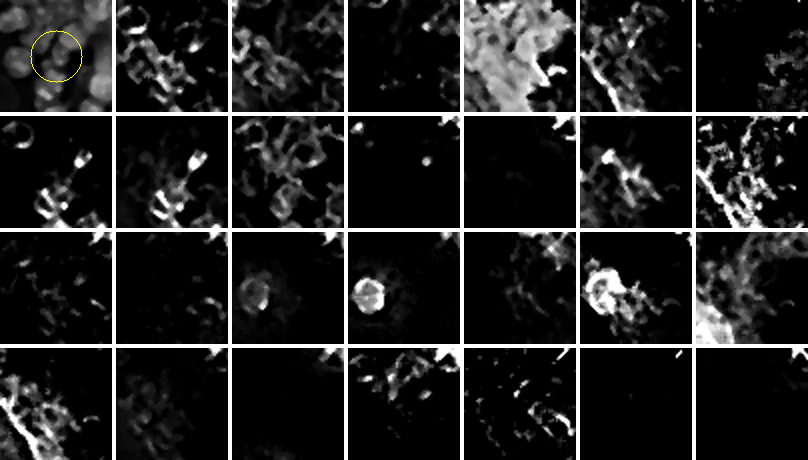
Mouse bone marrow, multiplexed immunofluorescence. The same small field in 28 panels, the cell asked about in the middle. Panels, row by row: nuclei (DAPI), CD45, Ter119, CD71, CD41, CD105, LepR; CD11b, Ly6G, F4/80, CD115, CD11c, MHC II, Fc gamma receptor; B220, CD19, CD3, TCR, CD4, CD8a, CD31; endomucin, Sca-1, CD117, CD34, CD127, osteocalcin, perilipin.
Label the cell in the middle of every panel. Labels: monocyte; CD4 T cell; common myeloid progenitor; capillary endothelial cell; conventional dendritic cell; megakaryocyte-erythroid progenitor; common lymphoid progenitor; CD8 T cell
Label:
capillary endothelial cell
